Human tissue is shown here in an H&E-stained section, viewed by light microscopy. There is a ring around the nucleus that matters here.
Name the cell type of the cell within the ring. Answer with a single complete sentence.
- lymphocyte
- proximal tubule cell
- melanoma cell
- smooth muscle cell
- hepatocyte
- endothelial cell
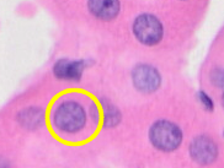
Assigned to a cell type, the cell within the ring is a proximal tubule cell.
